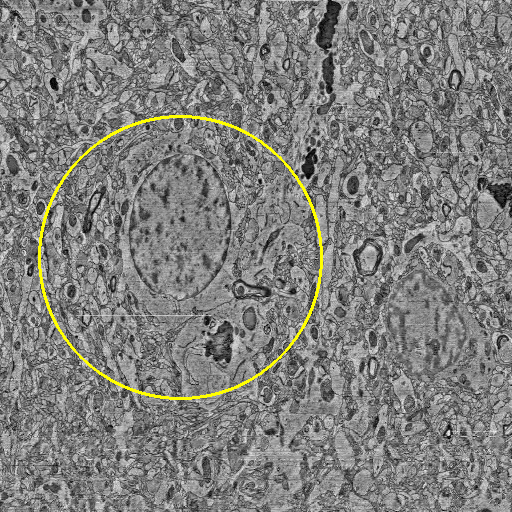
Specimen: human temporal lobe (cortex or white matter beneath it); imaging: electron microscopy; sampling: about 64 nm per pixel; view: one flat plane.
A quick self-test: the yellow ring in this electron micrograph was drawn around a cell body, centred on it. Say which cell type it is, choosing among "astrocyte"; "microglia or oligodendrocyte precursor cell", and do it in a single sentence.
The yellow-ringed cell is an astrocyte.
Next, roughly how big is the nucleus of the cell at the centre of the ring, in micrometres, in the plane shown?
Clearly longer than it is wide in this plane, the nucleus measures roughly 10 by 6 micrometres.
